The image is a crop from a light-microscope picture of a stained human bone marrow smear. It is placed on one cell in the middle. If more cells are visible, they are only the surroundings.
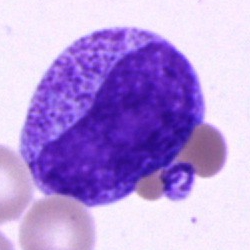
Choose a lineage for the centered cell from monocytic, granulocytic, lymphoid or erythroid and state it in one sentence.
That the central cell belongs to the granulocytic lineage is the finding here.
